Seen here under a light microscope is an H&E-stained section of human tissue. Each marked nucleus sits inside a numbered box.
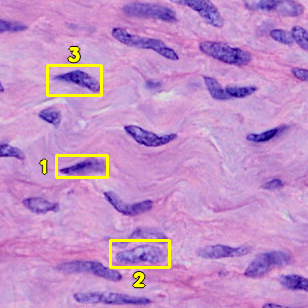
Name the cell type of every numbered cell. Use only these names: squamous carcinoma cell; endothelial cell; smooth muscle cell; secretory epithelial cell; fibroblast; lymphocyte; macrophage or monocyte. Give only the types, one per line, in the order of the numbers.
fibroblast
smooth muscle cell
fibroblast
